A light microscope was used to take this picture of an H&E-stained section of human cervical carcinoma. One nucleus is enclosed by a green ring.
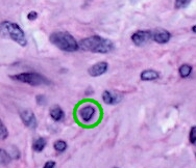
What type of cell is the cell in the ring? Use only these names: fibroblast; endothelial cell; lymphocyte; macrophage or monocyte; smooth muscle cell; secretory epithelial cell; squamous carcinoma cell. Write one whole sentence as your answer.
The cell in the ring appears to be a smooth muscle cell.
